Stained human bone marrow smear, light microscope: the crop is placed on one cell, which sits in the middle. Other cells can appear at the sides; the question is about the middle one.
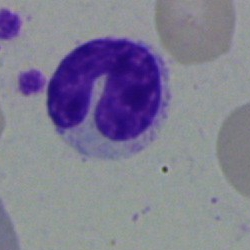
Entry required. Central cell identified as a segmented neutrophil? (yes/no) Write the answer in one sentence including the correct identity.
No, the correct answer for the middle cell is a band neutrophil, not a segmented neutrophil.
